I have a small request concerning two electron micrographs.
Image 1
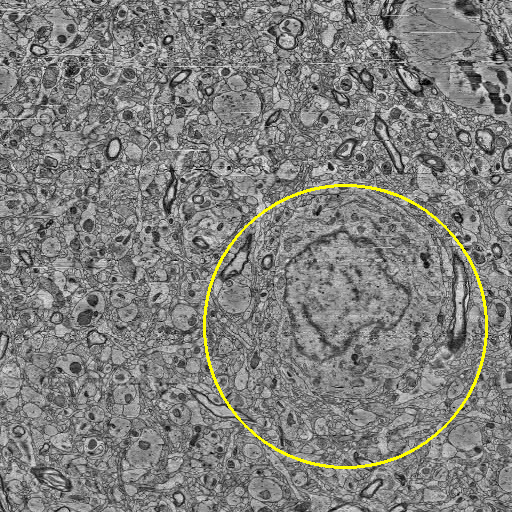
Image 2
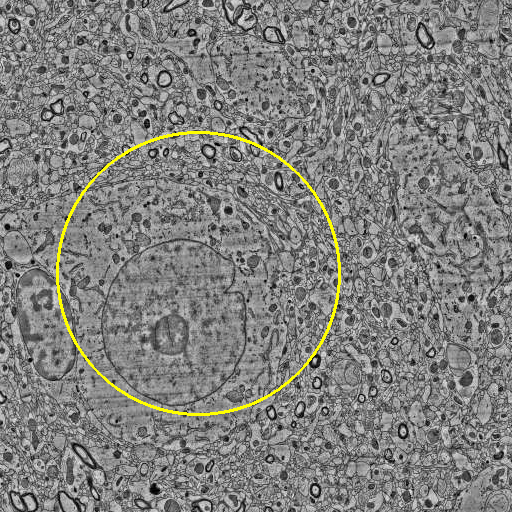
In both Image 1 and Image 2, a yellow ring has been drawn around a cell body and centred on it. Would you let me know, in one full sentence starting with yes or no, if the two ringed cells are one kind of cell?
No, the cells ringed in Image 1 and Image 2 are two kinds of cell.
